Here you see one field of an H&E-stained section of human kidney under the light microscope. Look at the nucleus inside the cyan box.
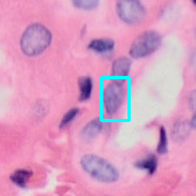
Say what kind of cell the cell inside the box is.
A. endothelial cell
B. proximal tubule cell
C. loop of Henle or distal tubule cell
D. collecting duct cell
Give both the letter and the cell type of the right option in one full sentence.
Given that the cell inside the box is a collecting duct cell, option D is the correct one.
